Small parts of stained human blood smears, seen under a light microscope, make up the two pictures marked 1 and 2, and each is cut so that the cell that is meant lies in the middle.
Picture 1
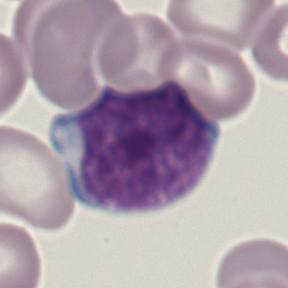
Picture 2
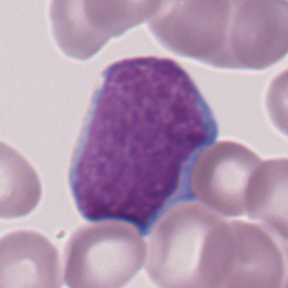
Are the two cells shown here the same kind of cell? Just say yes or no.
yes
